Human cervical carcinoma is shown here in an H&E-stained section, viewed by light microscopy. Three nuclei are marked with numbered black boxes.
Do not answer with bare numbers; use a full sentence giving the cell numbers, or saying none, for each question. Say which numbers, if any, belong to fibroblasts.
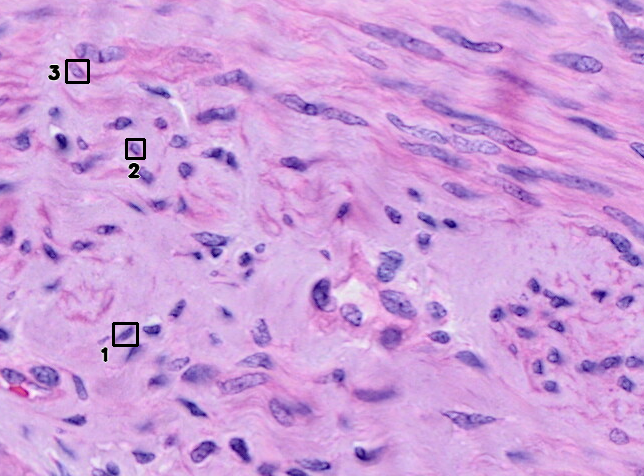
The one cell that is a fibroblast is cell 1, and no other.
